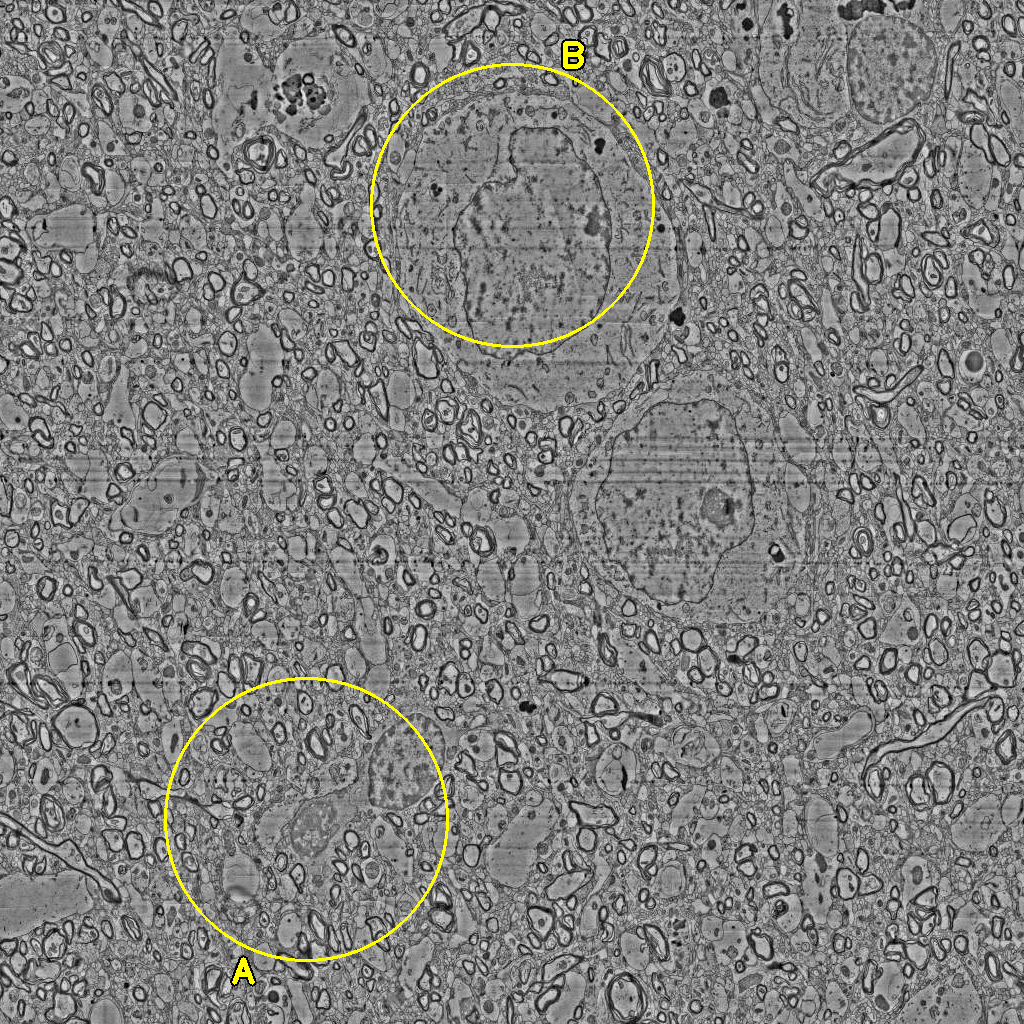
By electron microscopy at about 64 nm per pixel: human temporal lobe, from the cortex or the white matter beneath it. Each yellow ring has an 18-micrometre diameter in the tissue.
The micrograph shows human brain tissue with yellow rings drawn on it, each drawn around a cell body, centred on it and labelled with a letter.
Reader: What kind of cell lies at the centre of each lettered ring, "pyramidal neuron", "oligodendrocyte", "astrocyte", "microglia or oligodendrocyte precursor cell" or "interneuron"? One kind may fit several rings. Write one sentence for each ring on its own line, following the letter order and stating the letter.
At the centre of ring A lies an oligodendrocyte.
At the centre of ring B lies a pyramidal neuron.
